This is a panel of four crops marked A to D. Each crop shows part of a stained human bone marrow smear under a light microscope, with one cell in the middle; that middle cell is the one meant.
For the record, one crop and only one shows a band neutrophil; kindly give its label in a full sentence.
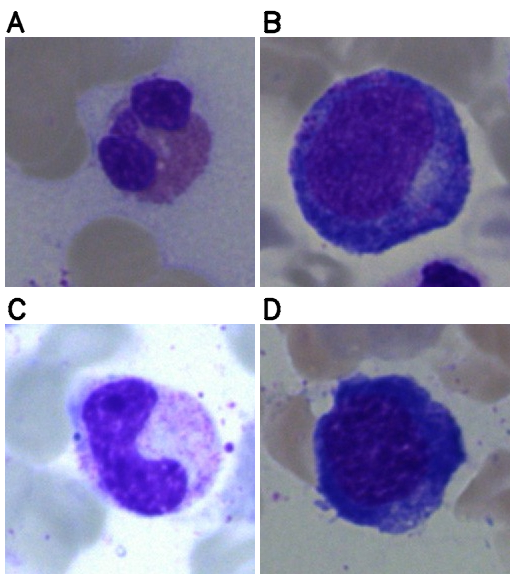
In this series, a band neutrophil is shown by crop C.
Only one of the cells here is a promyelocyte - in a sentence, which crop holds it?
Of the labelled crops, the one that shows a promyelocyte is crop B.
